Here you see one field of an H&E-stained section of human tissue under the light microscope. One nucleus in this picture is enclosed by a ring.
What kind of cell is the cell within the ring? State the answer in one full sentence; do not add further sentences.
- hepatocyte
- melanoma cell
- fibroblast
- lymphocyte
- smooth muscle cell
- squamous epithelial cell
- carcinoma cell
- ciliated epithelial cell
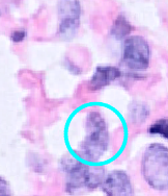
Microscopically, the cell within the ring is categorized as a carcinoma cell.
